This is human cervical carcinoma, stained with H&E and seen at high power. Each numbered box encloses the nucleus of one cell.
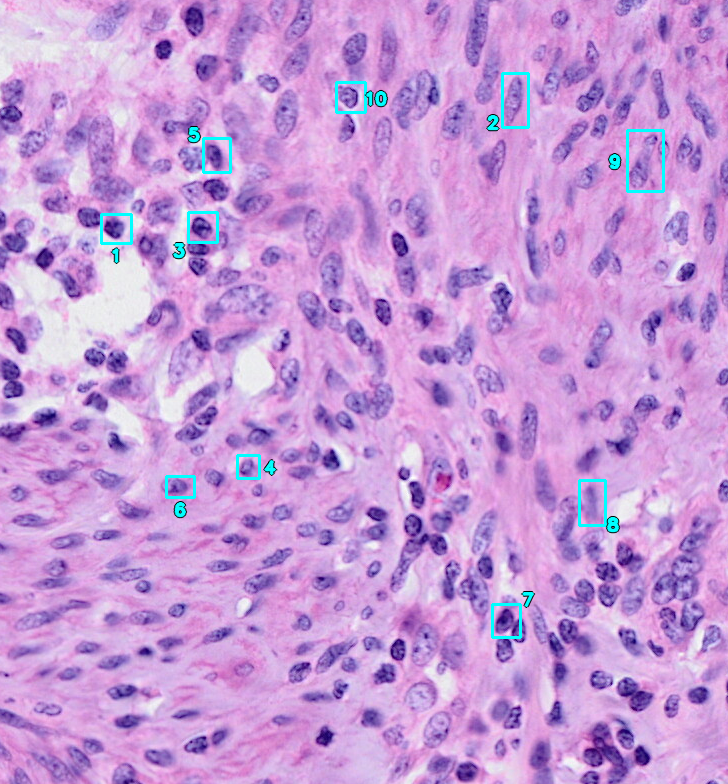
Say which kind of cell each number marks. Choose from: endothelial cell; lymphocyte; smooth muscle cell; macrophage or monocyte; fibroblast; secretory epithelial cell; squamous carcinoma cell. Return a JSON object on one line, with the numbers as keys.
{"1": "lymphocyte", "2": "smooth muscle cell", "3": "lymphocyte", "4": "smooth muscle cell", "5": "lymphocyte", "6": "smooth muscle cell", "7": "lymphocyte", "8": "fibroblast", "9": "smooth muscle cell", "10": "lymphocyte"}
